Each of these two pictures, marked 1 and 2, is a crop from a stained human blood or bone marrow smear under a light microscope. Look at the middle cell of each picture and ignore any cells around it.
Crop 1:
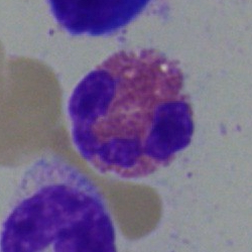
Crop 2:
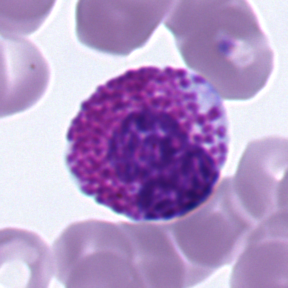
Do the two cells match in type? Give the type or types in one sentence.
Yes, both crops alike show eosinophils at the centre.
